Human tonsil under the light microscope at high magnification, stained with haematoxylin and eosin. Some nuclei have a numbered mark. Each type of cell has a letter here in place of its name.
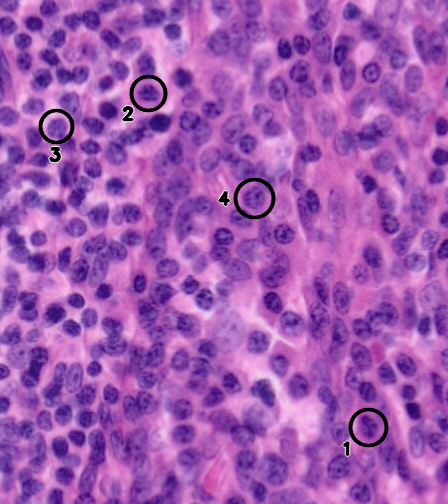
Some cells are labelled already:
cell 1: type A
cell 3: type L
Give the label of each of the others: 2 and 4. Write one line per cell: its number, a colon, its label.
2: type A
4: type A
